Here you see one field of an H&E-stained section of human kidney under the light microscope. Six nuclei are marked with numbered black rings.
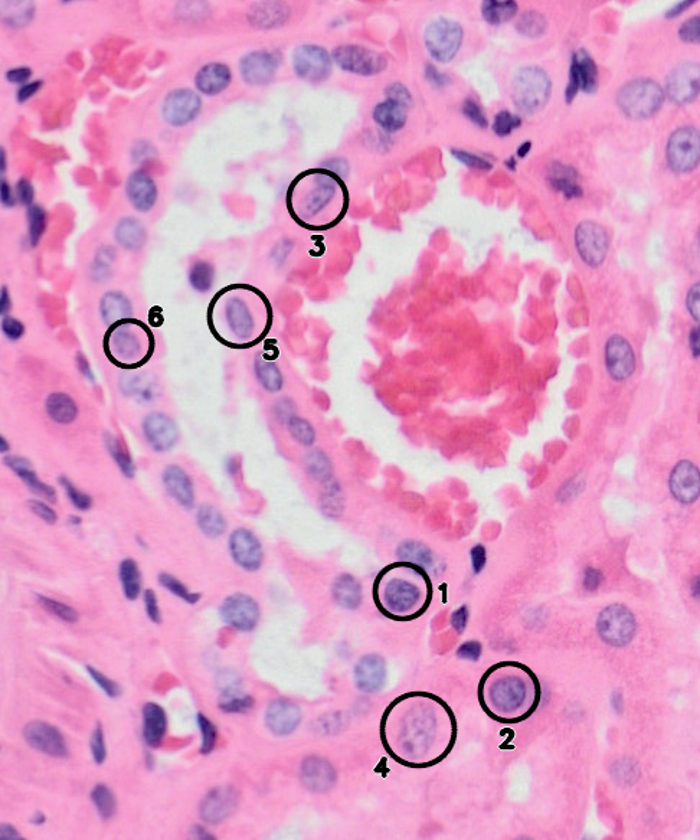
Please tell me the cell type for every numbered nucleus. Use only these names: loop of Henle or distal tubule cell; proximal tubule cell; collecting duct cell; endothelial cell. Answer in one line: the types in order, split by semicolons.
collecting duct cell; proximal tubule cell; collecting duct cell; proximal tubule cell; collecting duct cell; collecting duct cell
